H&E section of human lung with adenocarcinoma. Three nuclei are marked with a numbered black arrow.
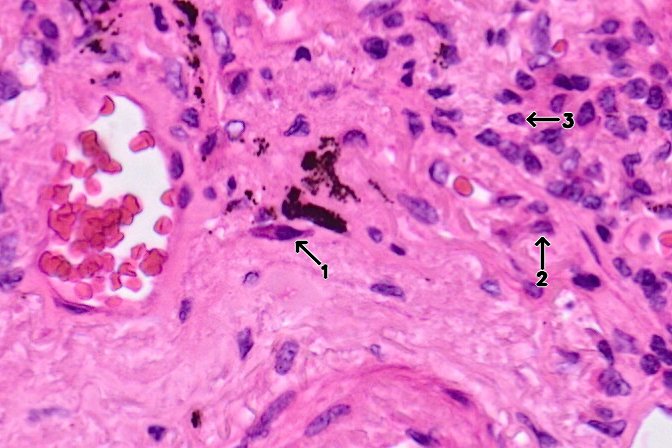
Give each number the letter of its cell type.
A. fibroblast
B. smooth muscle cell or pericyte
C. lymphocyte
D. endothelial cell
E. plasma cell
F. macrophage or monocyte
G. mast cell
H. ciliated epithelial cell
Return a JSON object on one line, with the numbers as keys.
{"1": "E", "2": "E", "3": "C"}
